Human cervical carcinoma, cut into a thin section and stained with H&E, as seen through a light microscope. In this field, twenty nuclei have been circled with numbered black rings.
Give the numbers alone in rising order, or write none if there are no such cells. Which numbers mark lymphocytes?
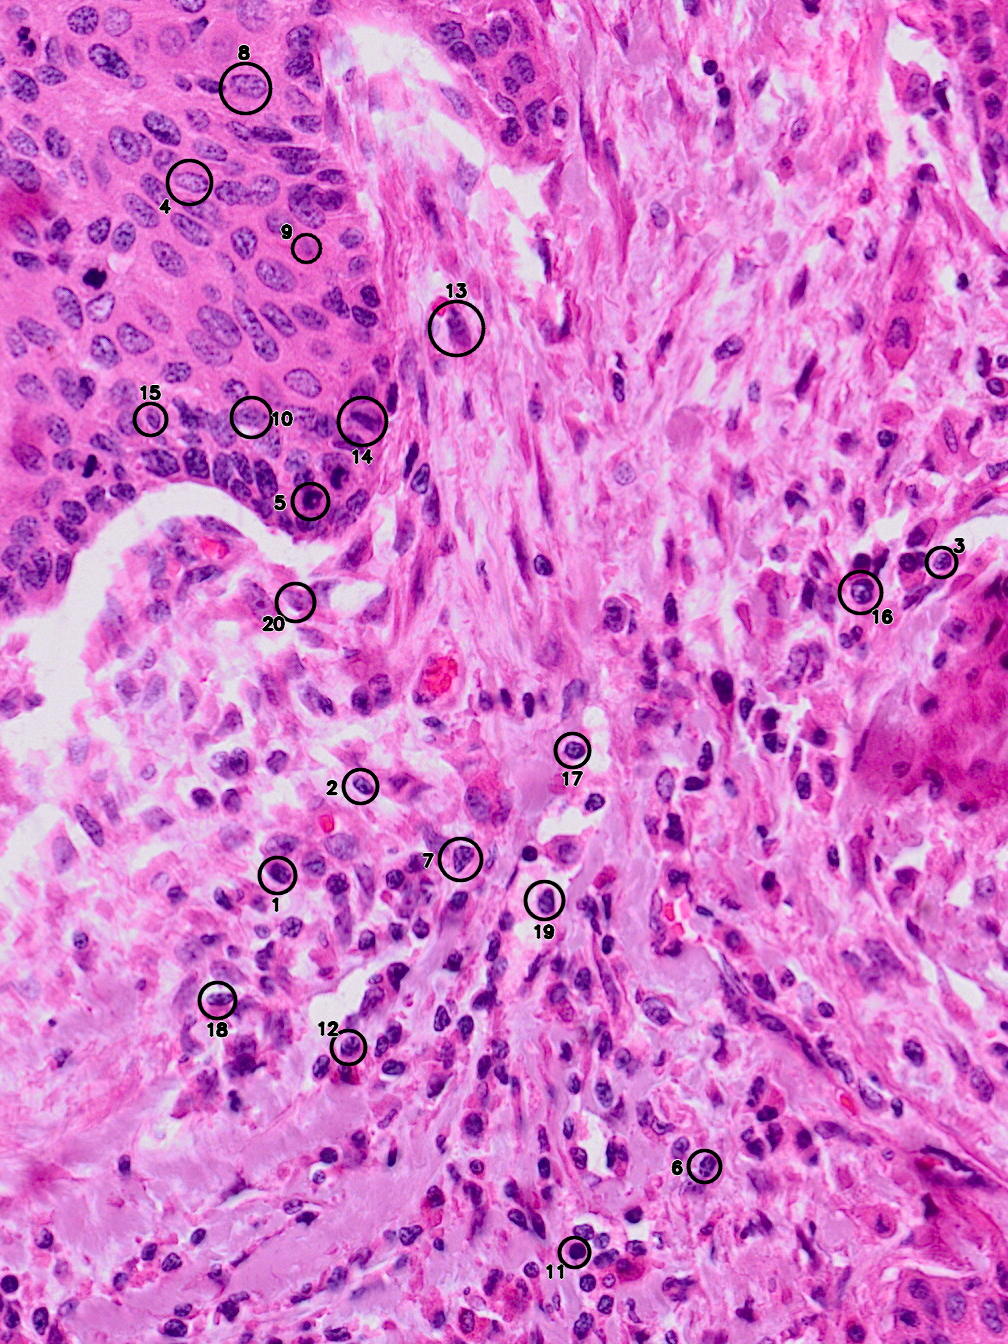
1, 2, 3, 6, 7, 11, 12, 16, 17, 18, 19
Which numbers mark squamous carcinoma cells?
4, 5, 8, 9, 10, 14, 15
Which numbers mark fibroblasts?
20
